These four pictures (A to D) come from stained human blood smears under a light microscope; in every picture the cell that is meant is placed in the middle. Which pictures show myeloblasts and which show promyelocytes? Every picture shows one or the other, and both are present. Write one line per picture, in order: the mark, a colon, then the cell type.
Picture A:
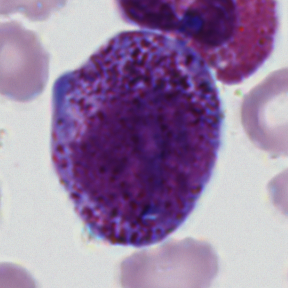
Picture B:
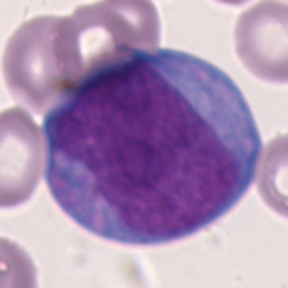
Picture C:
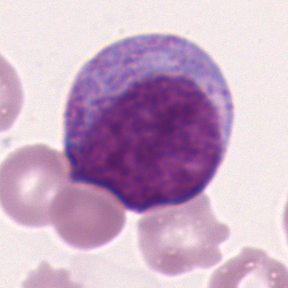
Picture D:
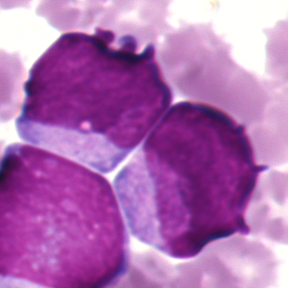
A: promyelocyte
B: promyelocyte
C: promyelocyte
D: myeloblast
